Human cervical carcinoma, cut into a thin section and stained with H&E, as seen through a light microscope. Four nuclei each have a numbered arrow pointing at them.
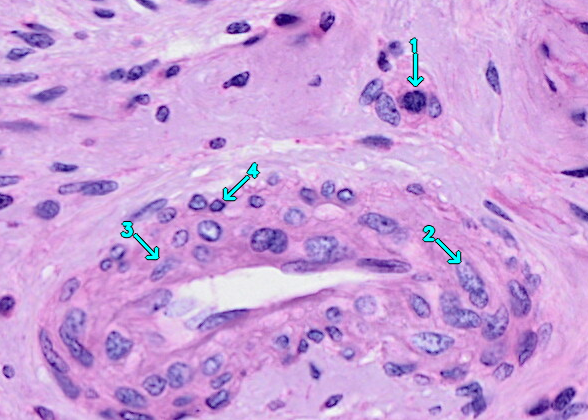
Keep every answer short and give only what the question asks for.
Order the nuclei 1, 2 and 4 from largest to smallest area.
2, 1, 4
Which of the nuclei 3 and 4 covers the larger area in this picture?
3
